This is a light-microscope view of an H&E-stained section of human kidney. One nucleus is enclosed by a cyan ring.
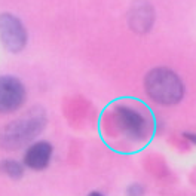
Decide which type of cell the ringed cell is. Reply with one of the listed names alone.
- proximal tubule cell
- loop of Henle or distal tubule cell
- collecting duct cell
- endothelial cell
endothelial cell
